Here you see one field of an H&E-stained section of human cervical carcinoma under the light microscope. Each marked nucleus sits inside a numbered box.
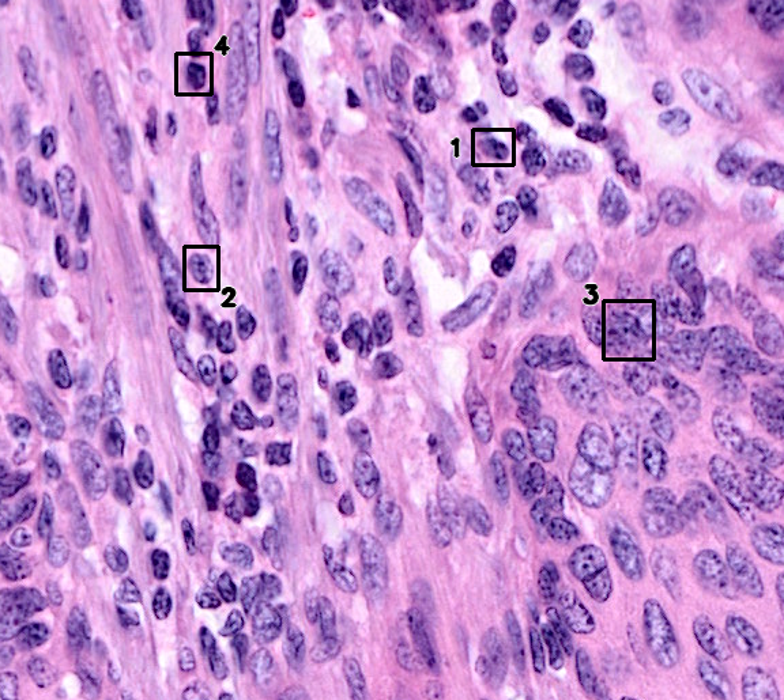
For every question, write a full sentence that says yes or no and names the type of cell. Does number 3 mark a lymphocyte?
No, that is wrong: cell 3 is a squamous carcinoma cell, and not a lymphocyte.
